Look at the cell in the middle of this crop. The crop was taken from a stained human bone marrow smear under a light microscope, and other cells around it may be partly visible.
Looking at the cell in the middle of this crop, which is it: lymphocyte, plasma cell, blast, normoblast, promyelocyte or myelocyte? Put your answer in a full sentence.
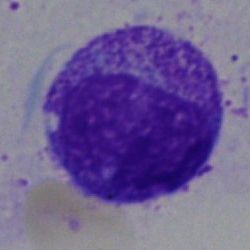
In the center of this field lies a myelocyte.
